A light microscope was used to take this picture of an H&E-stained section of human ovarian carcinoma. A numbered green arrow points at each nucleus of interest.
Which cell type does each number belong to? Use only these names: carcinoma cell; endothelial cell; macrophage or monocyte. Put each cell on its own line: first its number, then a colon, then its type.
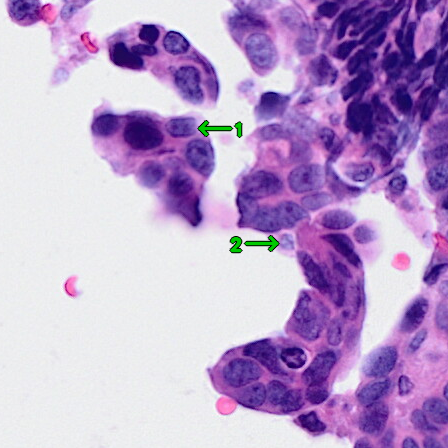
1: carcinoma cell
2: macrophage or monocyte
